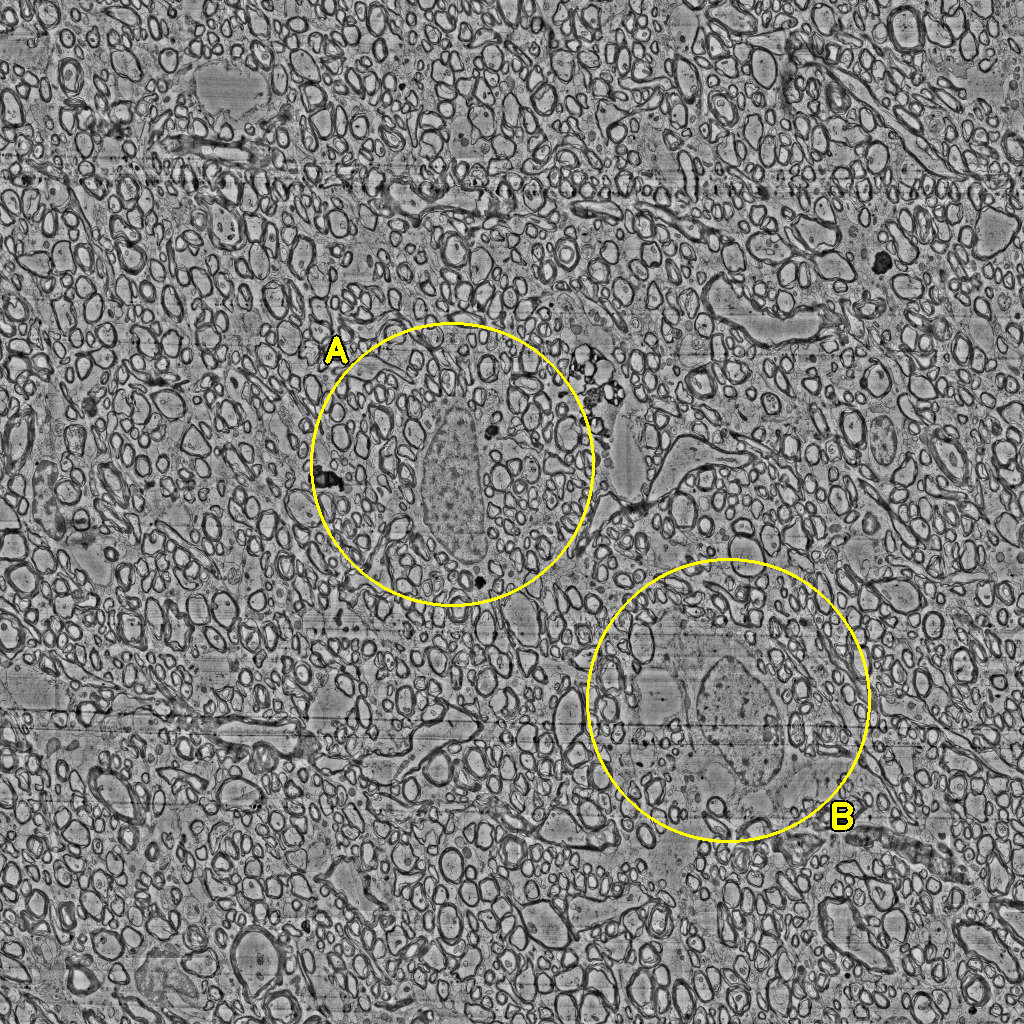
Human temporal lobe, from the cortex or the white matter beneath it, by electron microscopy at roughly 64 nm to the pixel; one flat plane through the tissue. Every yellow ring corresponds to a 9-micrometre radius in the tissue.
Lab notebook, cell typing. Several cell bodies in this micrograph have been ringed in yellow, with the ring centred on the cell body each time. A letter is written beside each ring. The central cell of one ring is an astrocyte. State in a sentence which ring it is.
It is ring B.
